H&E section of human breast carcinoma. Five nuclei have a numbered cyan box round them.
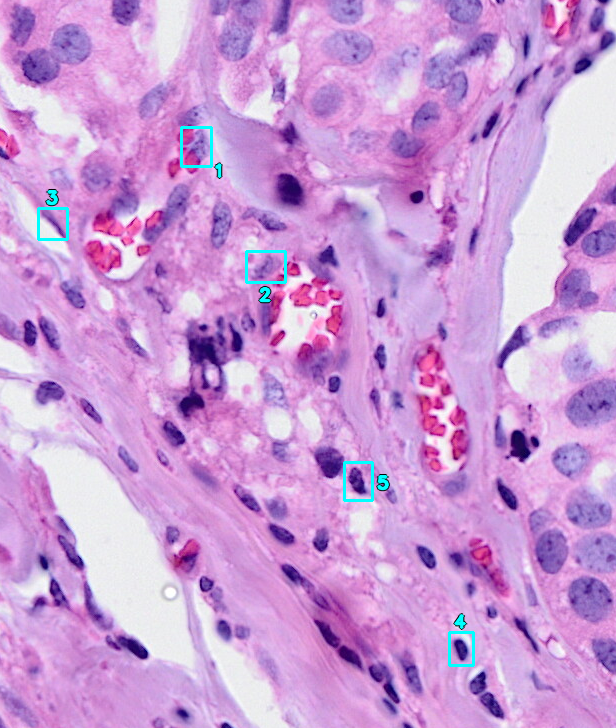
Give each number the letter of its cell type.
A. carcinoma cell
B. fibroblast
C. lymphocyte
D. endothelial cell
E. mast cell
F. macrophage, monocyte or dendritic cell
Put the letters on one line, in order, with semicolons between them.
D; D; B; C; C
